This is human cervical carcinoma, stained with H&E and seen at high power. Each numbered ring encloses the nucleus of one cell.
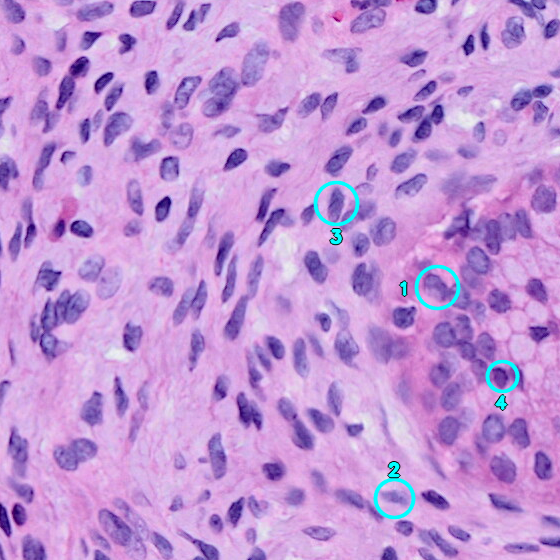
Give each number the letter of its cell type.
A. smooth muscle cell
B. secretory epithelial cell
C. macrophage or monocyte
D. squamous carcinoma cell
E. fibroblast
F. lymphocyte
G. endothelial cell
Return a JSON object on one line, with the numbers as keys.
{"1": "B", "2": "E", "3": "E", "4": "B"}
